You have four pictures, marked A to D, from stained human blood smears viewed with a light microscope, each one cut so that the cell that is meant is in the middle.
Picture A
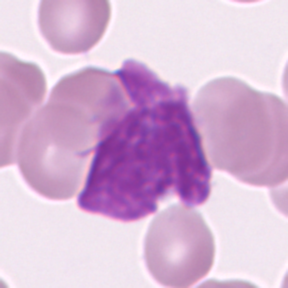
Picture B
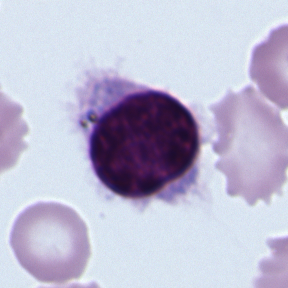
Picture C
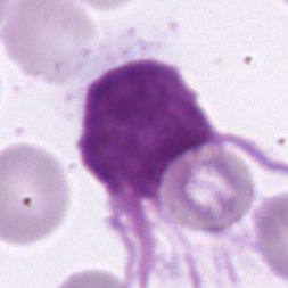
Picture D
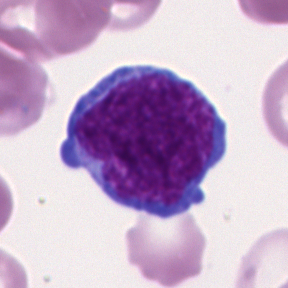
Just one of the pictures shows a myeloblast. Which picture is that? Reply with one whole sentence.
The myeloblast is the one in picture D.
